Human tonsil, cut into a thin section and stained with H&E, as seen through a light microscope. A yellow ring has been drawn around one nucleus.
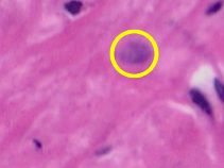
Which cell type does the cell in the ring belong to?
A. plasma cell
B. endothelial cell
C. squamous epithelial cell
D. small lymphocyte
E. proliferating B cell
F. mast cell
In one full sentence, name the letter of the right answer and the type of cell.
Option B names it right: the cell in the ring is an endothelial cell.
